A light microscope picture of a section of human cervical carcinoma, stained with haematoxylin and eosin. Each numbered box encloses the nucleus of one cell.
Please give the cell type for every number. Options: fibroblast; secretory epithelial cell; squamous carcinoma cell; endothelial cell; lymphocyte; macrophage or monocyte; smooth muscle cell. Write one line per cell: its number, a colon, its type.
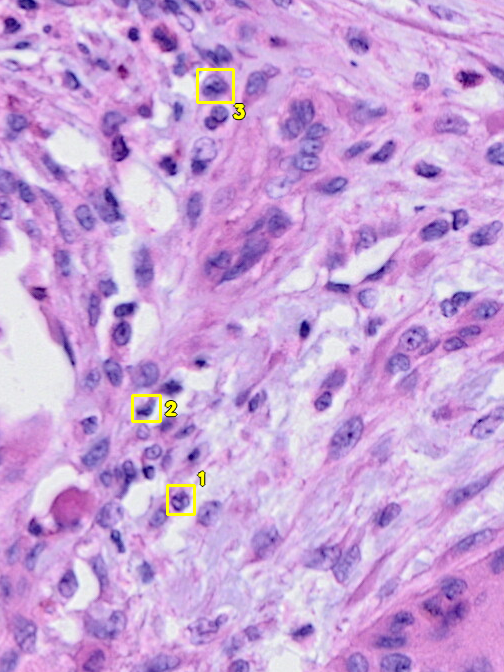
1: lymphocyte
2: lymphocyte
3: macrophage or monocyte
